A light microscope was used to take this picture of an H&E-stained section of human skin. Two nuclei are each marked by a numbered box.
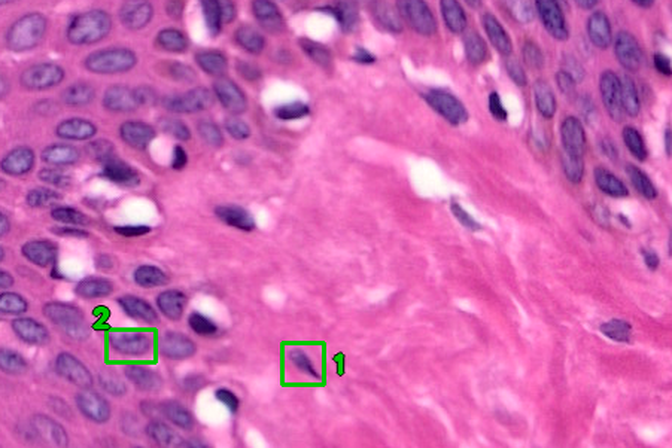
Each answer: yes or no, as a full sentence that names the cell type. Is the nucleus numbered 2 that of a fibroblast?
No, the cell numbered 2 is a basal keratinocyte rather than a fibroblast.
